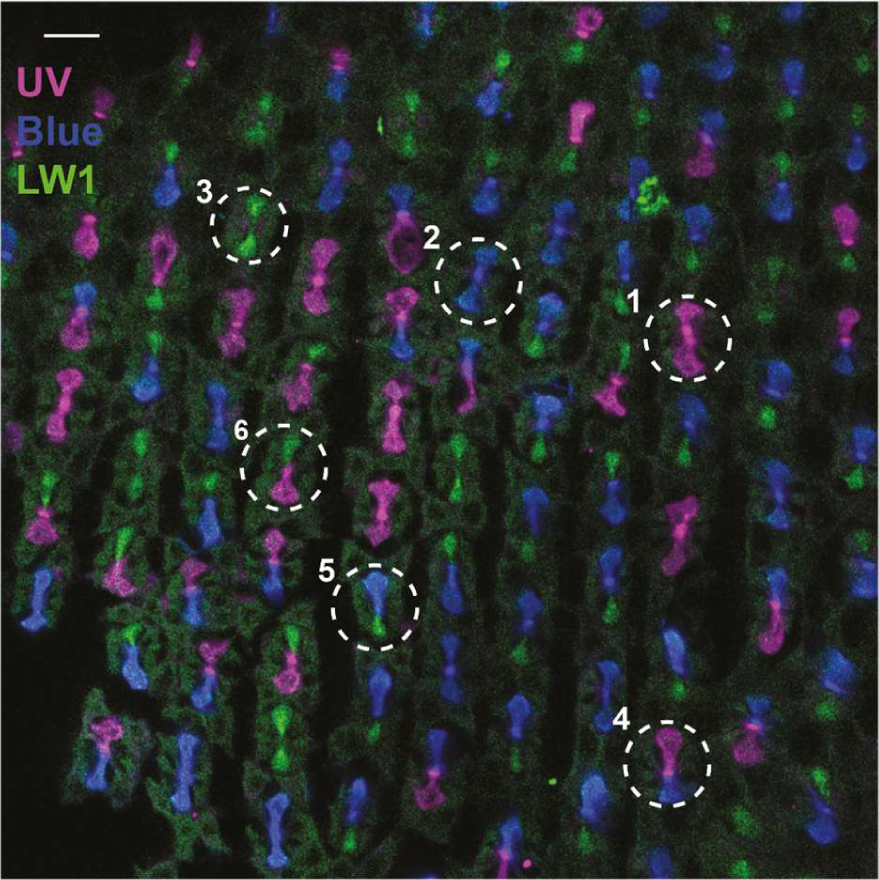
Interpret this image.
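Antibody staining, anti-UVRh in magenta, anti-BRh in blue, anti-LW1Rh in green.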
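This is a cross-section through the retina of a compound eye, showing many ommatidia, each with two stained photoreceptor cells lying on opposite sides of a central point. The paired cells are elongated and together form hourglass or bow-tie shapes, stained magenta, blue or green, sometimes with the two members of a pair in different colours. The ommatidia are lined up in roughly vertical rows. A fainter green meshwork fills the spaces between them and outlines the units.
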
